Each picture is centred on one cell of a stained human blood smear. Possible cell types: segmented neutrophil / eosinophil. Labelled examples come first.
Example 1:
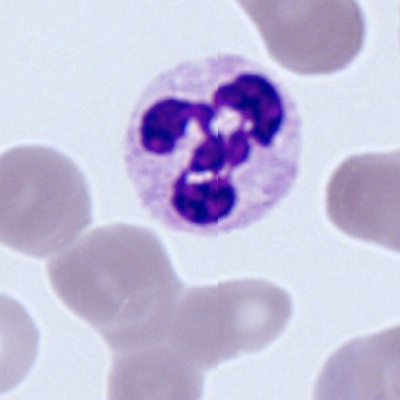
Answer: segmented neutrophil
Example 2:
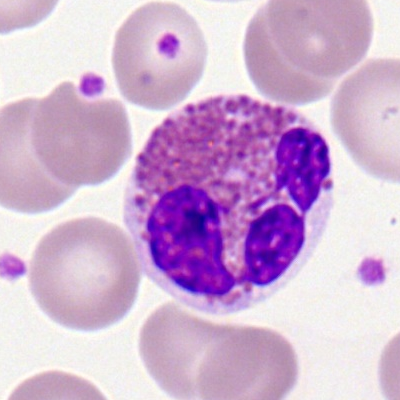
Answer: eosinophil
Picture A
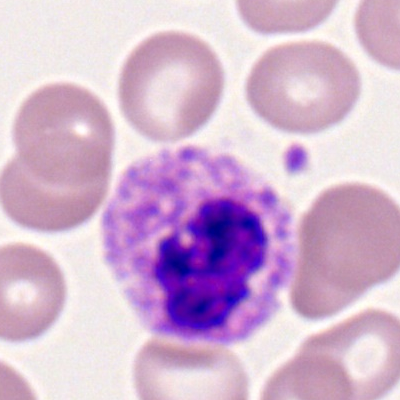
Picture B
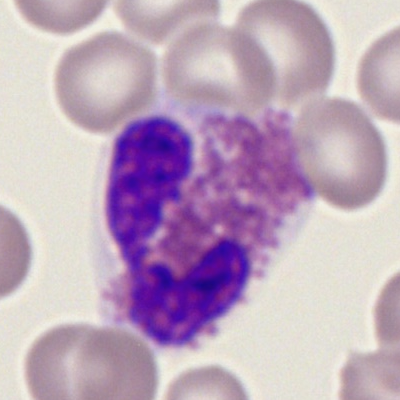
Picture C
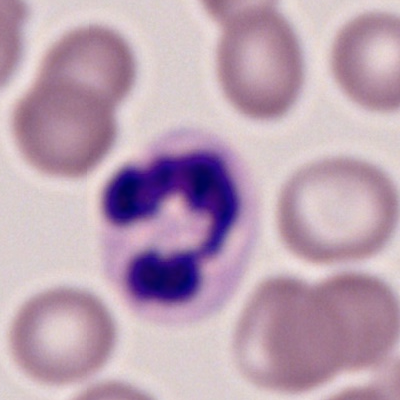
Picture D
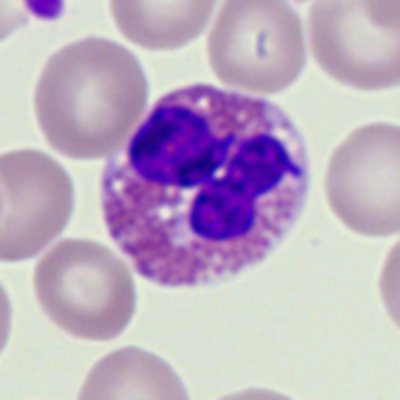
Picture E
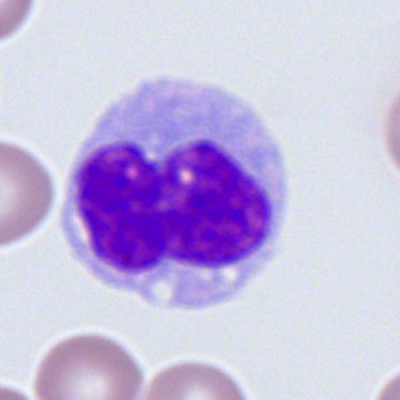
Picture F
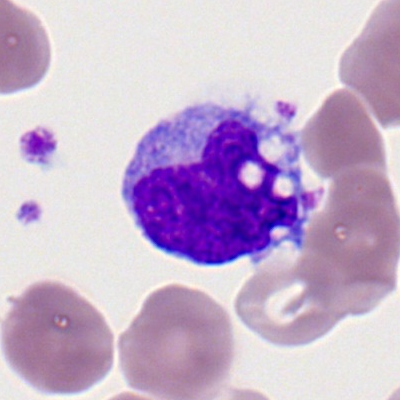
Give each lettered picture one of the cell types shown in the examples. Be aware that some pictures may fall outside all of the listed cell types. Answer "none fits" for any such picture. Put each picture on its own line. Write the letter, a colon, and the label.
A: segmented neutrophil
B: eosinophil
C: segmented neutrophil
D: eosinophil
E: none fits
F: none fits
